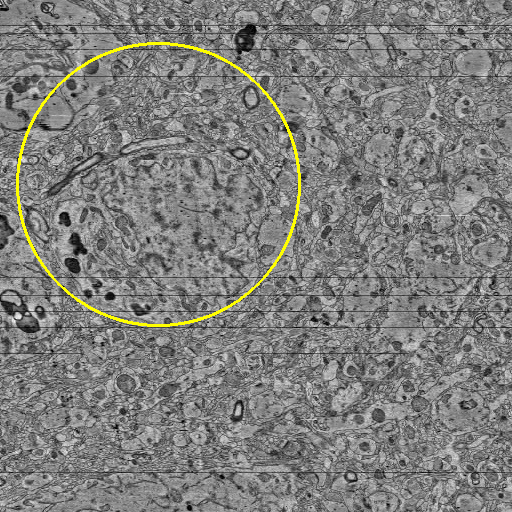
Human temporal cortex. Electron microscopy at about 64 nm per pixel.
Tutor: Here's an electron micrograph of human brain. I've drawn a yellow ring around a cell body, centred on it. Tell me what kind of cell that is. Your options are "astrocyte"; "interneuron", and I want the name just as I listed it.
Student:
interneuron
